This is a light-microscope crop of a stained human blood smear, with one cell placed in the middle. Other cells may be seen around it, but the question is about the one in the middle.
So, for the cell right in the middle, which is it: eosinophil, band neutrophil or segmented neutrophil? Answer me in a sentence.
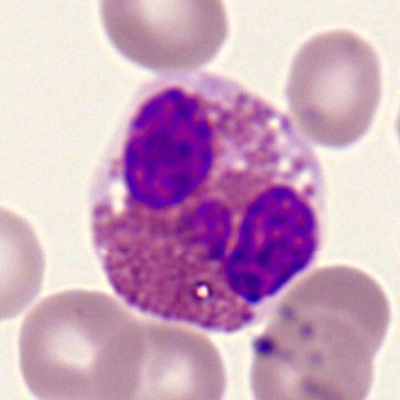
The cell around which this crop is centred is an eosinophil.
